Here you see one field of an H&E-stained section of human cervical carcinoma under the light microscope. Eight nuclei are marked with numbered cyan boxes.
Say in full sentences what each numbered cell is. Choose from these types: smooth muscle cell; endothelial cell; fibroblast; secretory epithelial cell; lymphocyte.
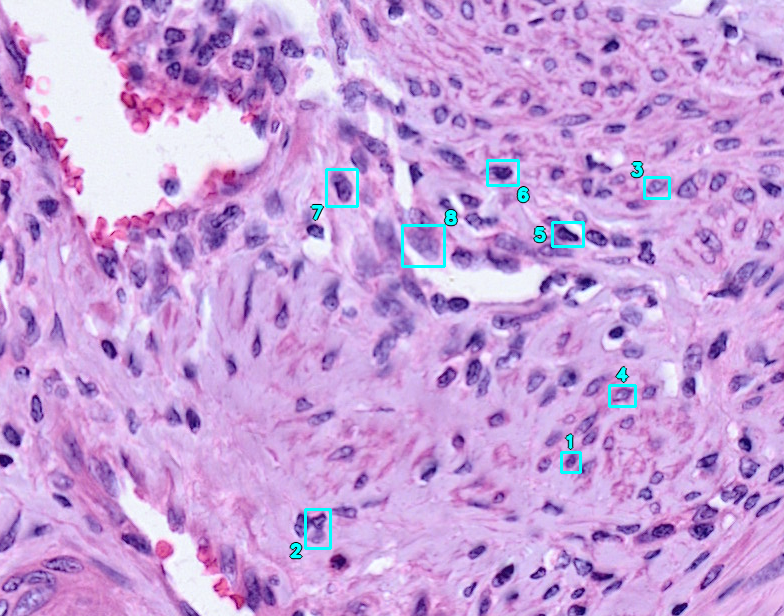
Cell 1 is a smooth muscle cell, cell 2 is a lymphocyte, cell 3 is a smooth muscle cell, cell 4 is a smooth muscle cell, cell 5 is a lymphocyte, cell 6 is a lymphocyte, cell 7 is a lymphocyte and cell 8 is an endothelial cell.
